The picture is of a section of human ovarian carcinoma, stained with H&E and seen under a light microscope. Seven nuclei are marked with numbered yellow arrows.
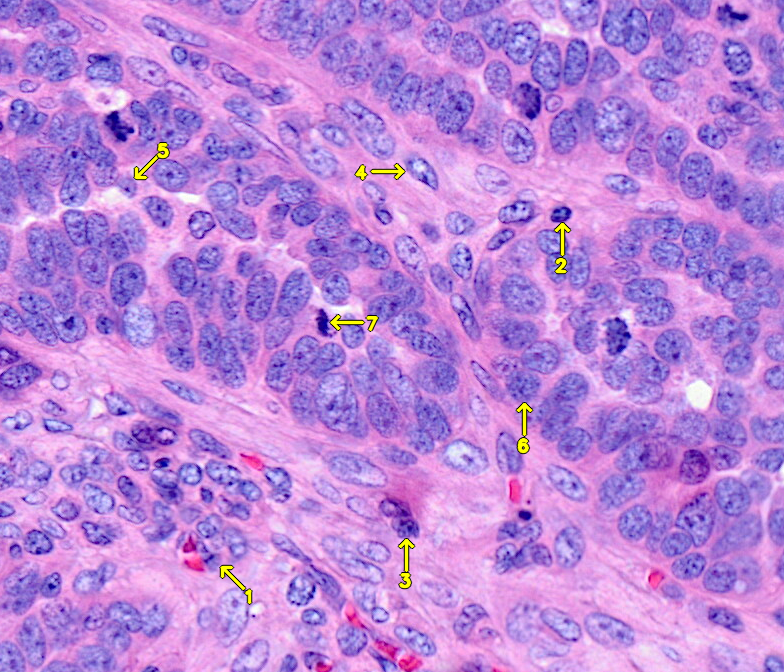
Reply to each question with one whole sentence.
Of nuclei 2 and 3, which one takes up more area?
Nucleus 3 is the larger one, covering about 1.5 times the area of nucleus 2.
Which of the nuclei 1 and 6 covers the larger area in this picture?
Number 6 is larger; its area is about 2 times that of number 1.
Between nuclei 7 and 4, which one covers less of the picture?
The smaller nucleus is 7, and 4 covers roughly 2.5 times its area.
